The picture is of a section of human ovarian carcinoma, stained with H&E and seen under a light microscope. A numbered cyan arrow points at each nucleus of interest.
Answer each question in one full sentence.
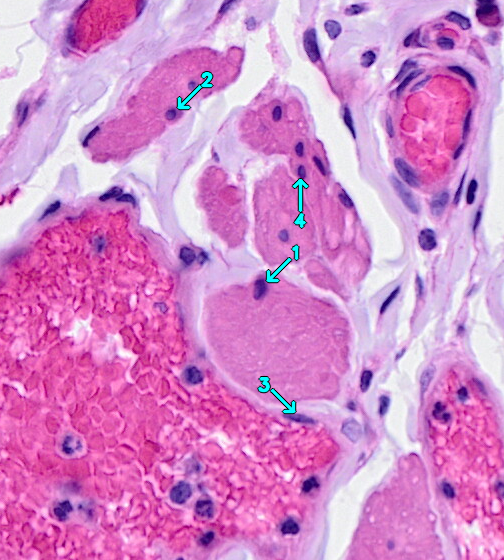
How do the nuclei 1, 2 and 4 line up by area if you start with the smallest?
Smallest first, the nuclei run 4, 2, 1.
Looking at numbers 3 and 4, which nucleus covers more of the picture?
It is nucleus 3, which covers about 2 times the area of nucleus 4.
